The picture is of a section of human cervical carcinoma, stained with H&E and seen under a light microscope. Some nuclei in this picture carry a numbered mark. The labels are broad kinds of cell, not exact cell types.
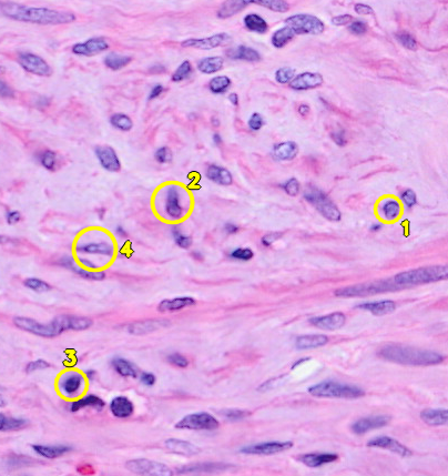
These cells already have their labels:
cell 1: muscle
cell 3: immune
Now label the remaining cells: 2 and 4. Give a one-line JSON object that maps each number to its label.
{"2": "muscle", "4": "muscle"}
